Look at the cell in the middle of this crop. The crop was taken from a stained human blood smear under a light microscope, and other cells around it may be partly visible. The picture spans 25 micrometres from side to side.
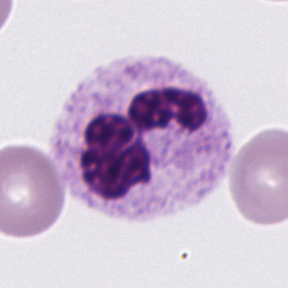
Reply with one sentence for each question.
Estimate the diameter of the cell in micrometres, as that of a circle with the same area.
Taken as a circle, the cell has a diameter of about 15 micrometres.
